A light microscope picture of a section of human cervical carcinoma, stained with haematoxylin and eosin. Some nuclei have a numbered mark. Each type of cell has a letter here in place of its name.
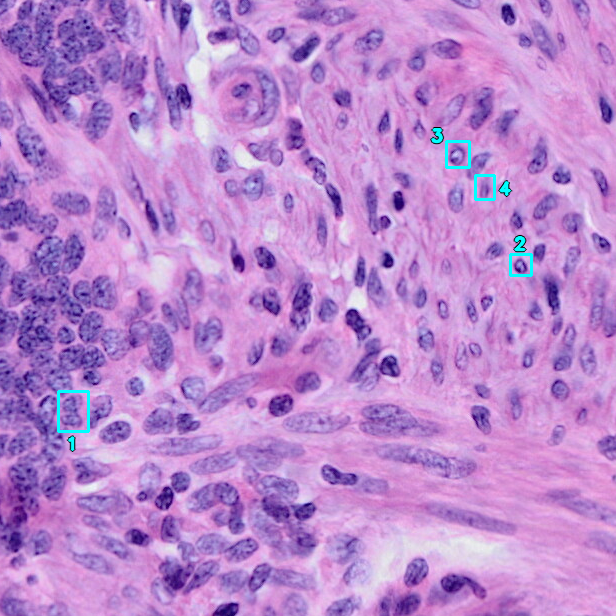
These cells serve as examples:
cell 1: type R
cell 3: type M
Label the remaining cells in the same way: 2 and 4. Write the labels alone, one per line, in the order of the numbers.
type M
type M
